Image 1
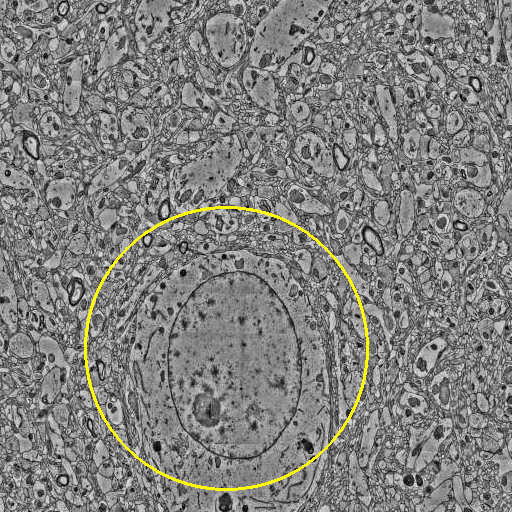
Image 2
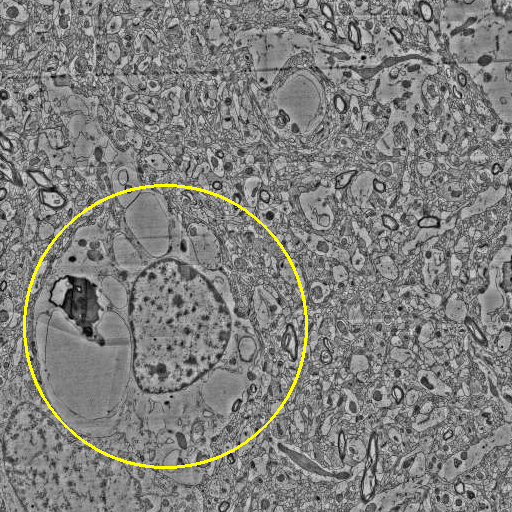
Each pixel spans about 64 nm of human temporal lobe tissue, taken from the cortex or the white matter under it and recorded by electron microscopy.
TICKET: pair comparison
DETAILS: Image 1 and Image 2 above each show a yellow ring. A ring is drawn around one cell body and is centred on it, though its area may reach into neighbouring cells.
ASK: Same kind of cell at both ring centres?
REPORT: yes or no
no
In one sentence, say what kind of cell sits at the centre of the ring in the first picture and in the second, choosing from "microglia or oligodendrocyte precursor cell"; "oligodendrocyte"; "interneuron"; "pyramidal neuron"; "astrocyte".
The first picture's ringed cell is a pyramidal neuron, while the second picture's is an astrocyte.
